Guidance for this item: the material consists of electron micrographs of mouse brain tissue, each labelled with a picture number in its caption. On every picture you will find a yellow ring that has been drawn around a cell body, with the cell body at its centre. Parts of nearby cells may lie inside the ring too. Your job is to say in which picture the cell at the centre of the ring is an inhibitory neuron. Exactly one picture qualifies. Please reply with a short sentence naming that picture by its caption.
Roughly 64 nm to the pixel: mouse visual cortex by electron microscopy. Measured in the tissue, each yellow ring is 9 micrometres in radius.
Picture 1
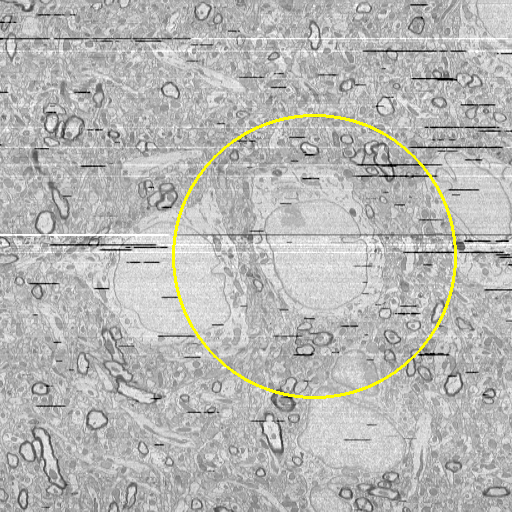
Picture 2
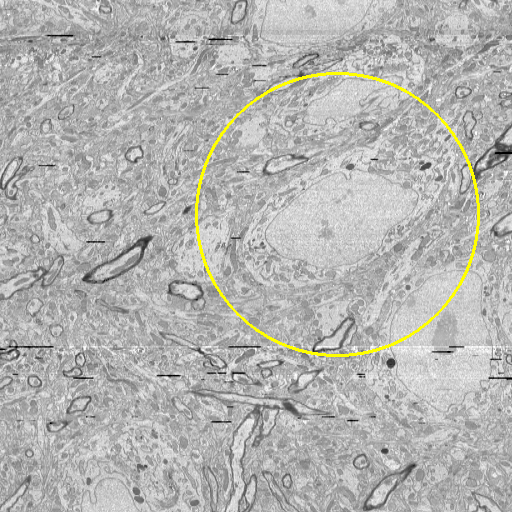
Picture 2 shows it at the centre of the ring.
